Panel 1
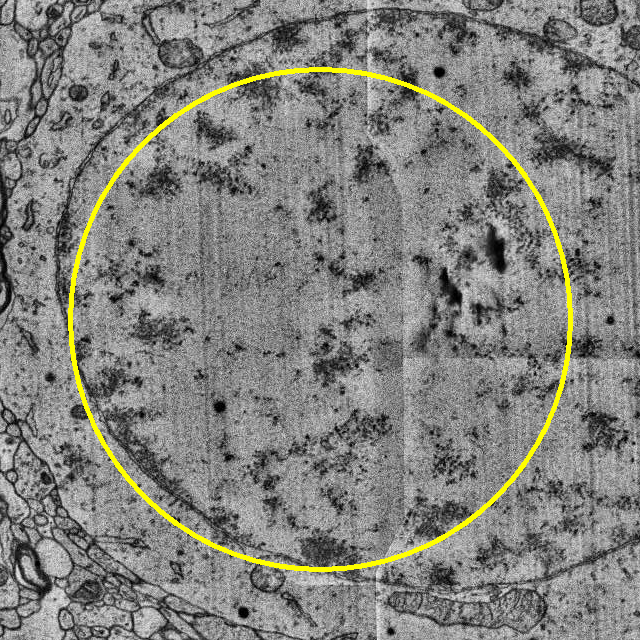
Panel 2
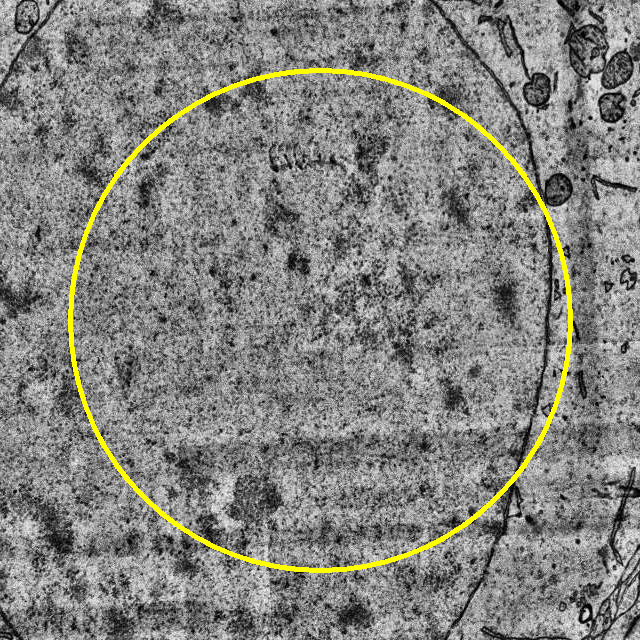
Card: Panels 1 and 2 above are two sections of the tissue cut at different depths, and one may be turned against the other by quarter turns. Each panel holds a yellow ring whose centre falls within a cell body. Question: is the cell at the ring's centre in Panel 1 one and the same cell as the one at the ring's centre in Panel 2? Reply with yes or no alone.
no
